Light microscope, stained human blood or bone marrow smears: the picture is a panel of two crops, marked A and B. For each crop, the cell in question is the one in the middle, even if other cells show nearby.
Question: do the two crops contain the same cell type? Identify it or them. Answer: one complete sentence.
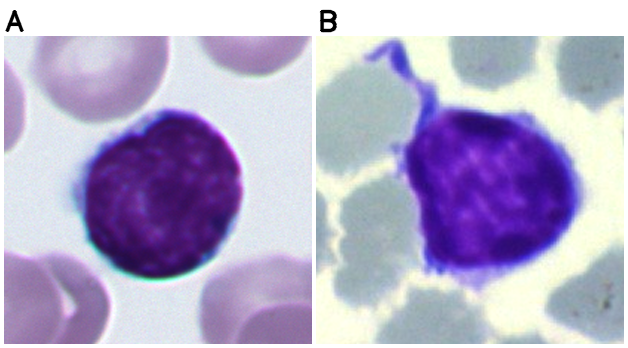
Yes, these two crops both show lymphocytes.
